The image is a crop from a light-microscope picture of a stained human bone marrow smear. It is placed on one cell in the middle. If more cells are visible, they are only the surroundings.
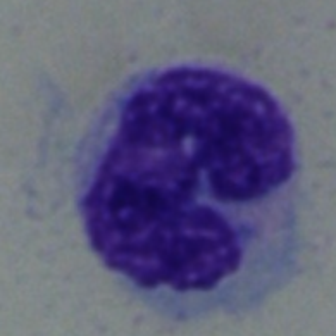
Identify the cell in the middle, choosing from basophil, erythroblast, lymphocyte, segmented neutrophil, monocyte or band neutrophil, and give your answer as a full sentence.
The cell centred in this crop is categorized as a monocyte.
